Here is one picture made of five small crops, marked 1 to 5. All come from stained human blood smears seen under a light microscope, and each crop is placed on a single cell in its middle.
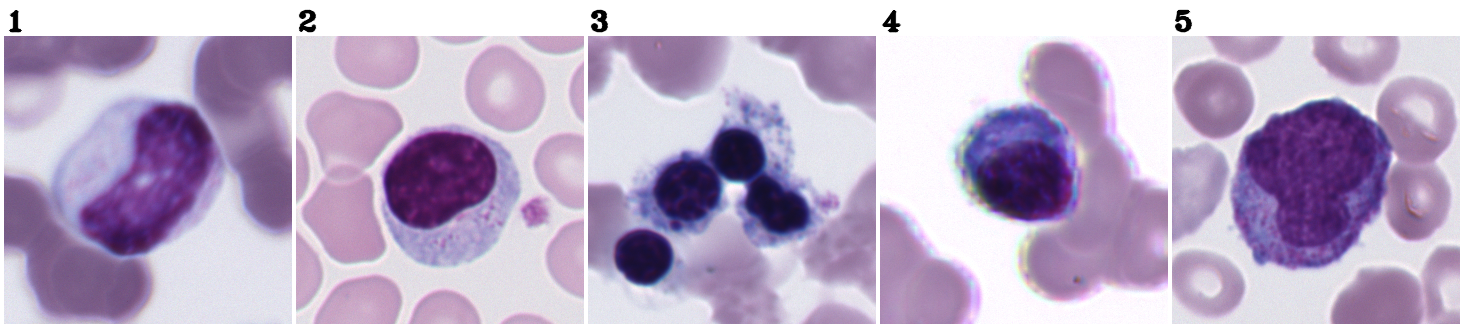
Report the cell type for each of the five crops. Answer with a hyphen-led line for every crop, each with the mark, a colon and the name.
- 1: band neutrophil
- 2: large granular lymphocyte
- 3: erythroblast
- 4: plasma cell
- 5: atypical promyelocyte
